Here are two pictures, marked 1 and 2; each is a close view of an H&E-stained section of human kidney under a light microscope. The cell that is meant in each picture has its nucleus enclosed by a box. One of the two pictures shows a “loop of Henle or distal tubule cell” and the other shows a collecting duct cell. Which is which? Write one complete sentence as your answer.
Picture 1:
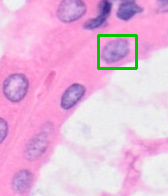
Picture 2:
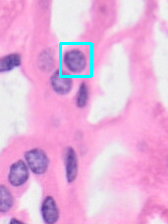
Picture 1 is of a “loop of Henle or distal tubule cell”, and picture 2 is of a collecting duct cell.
